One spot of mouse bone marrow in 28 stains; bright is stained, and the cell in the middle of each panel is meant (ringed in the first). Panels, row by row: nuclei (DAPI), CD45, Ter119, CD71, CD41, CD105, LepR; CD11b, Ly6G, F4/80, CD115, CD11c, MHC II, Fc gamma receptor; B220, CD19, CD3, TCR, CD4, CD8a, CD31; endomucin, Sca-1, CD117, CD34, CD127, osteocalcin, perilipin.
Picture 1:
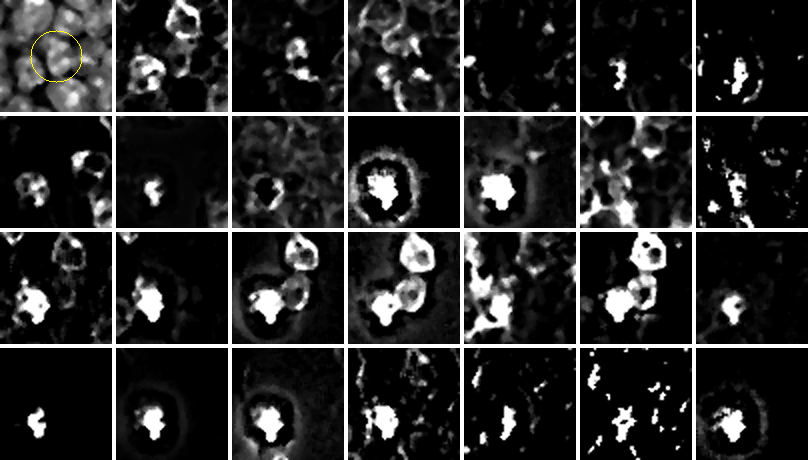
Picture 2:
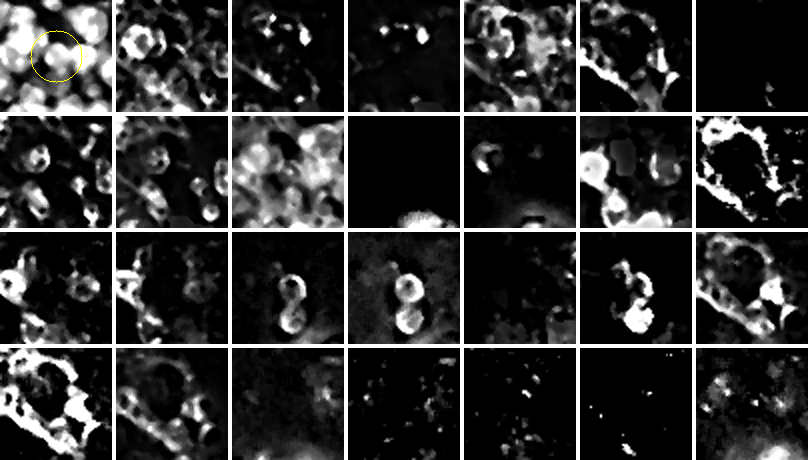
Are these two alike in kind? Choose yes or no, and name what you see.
Yes. CD8 T cells.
